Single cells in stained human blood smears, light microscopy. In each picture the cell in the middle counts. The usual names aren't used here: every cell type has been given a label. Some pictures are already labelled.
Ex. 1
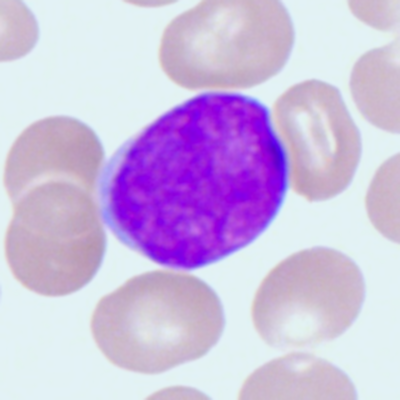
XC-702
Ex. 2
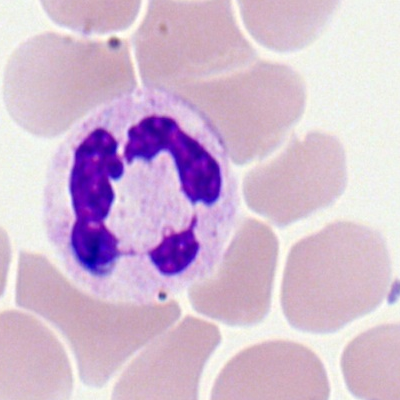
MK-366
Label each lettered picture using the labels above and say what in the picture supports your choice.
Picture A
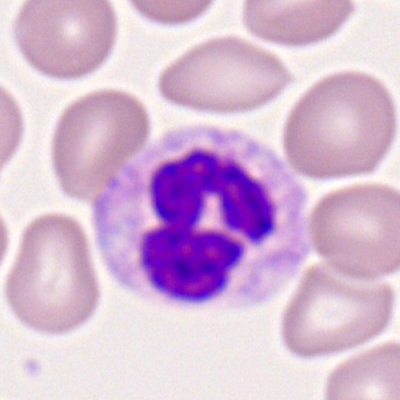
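MK-366. Reason: The cytoplasm is abundant and pale pinkish-lilac.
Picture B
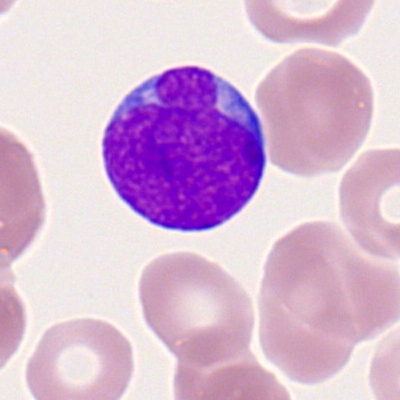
XC-702. Reason: The cytoplasm is blue.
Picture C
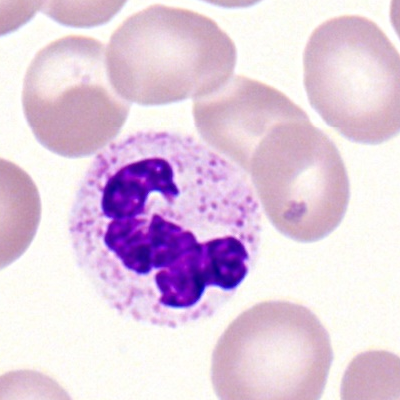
MK-366. Reason: The cytoplasm is abundant and pale pink.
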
